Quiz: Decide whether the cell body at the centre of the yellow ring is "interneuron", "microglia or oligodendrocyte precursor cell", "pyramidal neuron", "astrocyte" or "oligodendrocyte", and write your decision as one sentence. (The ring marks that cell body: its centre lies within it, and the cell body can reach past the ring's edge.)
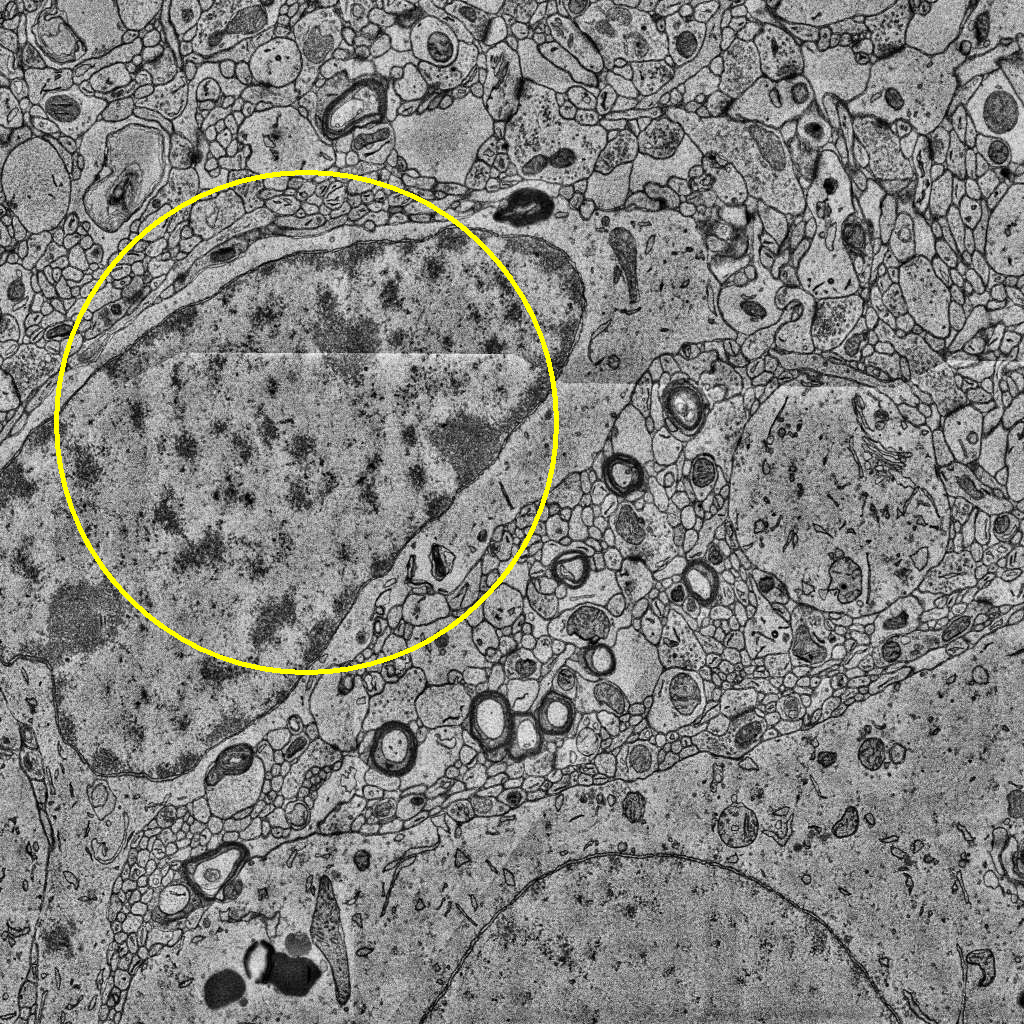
The cell holding the ring's centre is a microglial cell or oligodendrocyte precursor cell.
